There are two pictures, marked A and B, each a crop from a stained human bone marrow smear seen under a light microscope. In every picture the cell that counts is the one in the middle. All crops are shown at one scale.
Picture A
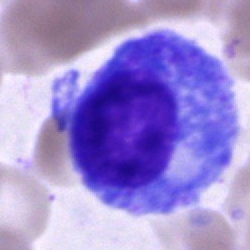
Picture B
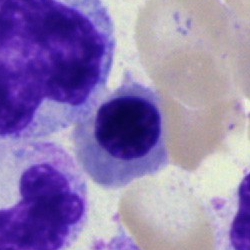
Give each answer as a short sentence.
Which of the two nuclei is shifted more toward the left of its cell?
Seen within its cell, the nucleus in picture A lies further toward the left.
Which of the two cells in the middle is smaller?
Picture B holds the smaller cell, since the cell in picture A covers about 3 times as much area.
